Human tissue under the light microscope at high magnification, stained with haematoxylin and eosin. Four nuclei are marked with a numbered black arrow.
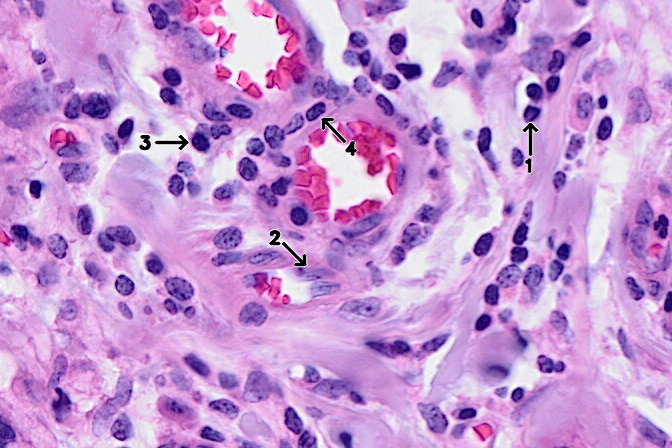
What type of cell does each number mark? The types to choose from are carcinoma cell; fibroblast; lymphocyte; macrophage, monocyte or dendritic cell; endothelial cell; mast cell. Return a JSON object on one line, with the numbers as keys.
{"1": "lymphocyte", "2": "endothelial cell", "3": "lymphocyte", "4": "lymphocyte"}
